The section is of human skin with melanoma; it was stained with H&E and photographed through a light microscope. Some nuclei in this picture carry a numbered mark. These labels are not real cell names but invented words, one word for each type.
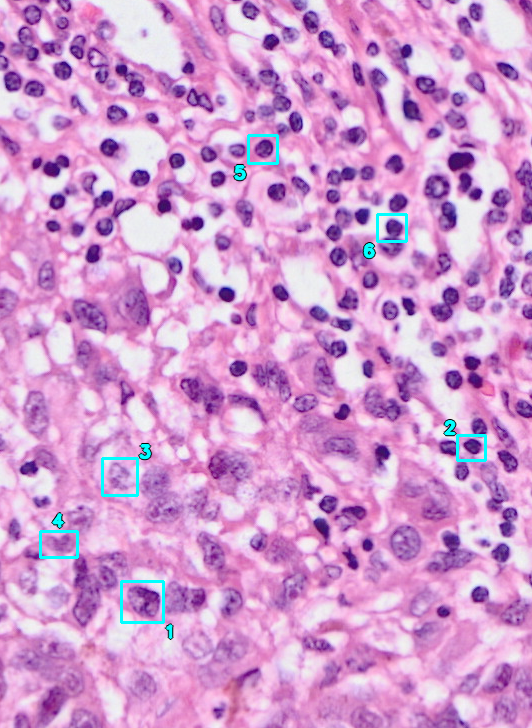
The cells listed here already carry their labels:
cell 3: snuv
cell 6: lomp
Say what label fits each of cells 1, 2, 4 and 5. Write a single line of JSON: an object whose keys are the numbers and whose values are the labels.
{"1": "snuv", "2": "lomp", "4": "snuv", "5": "lomp"}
